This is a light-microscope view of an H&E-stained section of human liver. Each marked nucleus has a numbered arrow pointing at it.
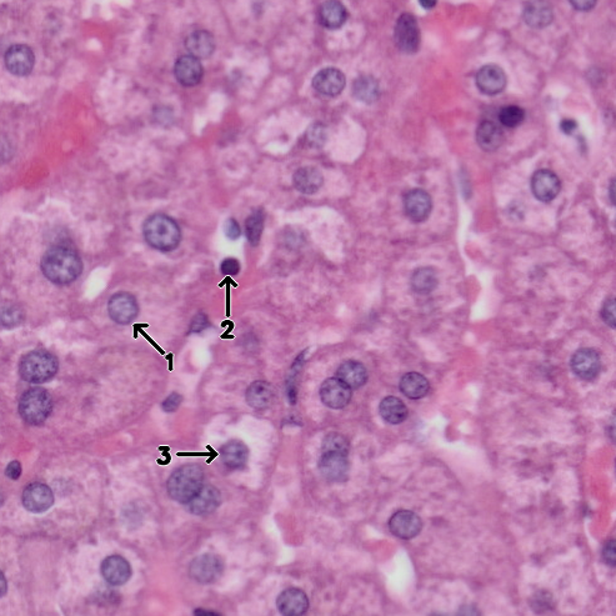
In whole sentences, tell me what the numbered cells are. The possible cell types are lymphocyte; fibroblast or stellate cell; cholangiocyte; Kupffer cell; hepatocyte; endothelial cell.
Cell 1 is a hepatocyte, cell 2 is a lymphocyte and cell 3 is a hepatocyte.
